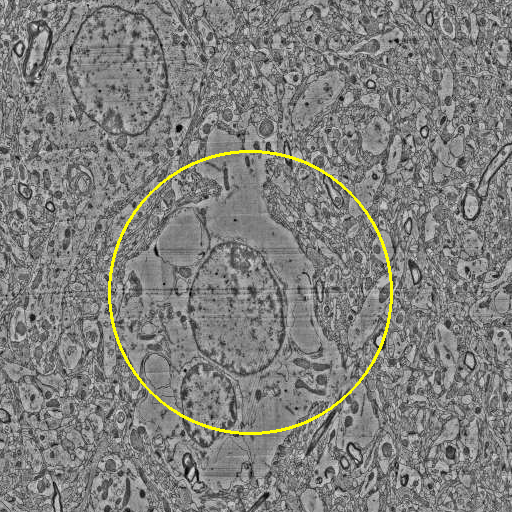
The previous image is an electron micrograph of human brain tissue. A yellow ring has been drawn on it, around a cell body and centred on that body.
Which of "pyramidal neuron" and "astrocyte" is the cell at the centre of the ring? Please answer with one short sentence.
The cell body at the centre of the ring belongs to an astrocyte.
